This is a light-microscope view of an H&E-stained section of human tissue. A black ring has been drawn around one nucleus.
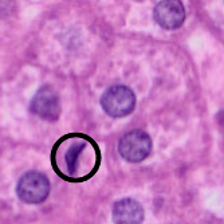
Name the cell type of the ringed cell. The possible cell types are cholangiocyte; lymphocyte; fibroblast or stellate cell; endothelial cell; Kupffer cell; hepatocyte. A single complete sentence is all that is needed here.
For cell typing purposes, the ringed cell is an endothelial cell.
